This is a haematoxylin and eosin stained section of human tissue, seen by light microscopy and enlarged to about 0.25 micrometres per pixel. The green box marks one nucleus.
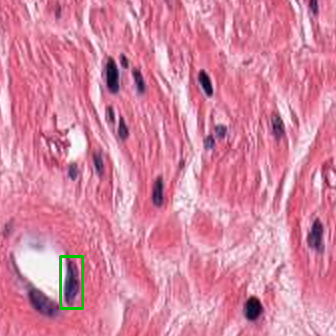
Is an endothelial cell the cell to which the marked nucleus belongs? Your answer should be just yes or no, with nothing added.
yes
